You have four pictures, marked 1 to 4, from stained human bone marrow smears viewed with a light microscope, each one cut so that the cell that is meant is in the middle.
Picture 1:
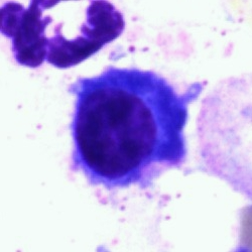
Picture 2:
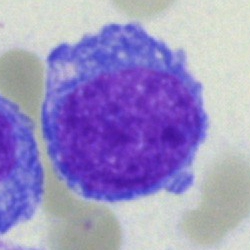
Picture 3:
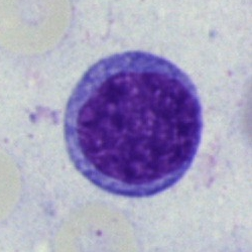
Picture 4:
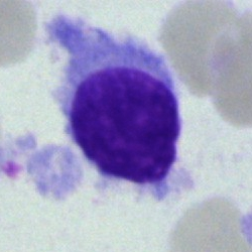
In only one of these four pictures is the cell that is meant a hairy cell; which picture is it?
4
